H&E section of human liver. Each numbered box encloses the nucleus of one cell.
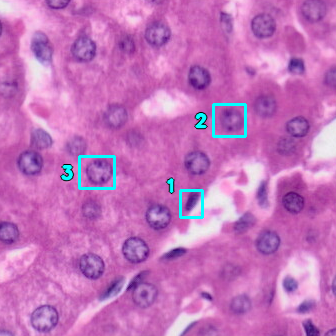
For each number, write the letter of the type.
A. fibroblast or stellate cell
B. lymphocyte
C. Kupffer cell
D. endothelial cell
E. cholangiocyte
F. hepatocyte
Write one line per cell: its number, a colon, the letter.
1: A
2: F
3: F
